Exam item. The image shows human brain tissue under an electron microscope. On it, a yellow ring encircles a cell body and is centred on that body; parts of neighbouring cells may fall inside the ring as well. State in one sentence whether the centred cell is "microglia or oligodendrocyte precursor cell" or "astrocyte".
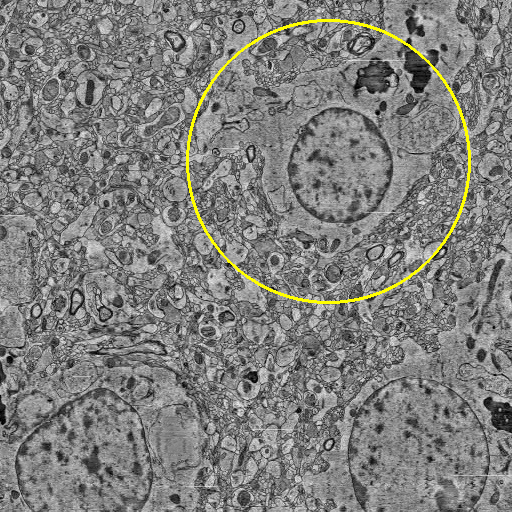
The cell body centred in the ring is an astrocyte.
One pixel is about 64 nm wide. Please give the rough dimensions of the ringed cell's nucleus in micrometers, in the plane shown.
The nucleus comes to roughly 7 micrometres across in this plane.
